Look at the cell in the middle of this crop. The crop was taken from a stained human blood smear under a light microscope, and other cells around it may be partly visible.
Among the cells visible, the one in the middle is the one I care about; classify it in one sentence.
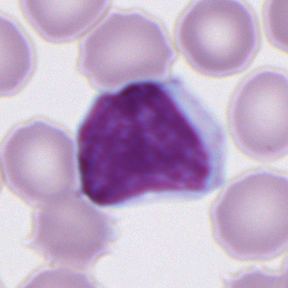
Seen at the centre of the crop is a lymphocyte.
